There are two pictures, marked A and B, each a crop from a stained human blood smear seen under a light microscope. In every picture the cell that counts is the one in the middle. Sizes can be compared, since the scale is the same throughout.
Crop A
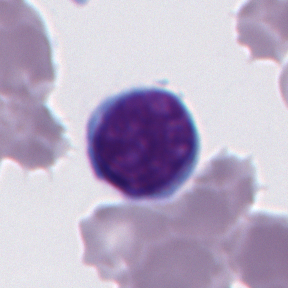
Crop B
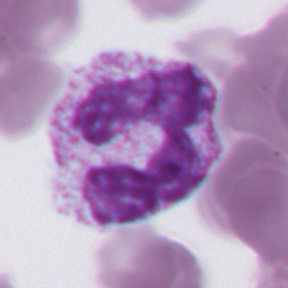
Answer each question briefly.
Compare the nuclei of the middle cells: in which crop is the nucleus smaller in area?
A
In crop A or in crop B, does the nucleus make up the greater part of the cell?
A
